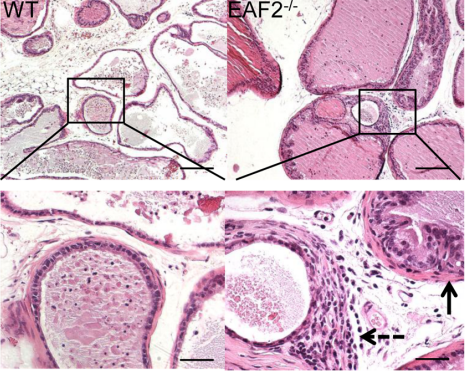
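These are sections of prostate glands, shown at low power above and at higher power below. On the left the glands are lined by a thin single layer of epithelial cells around lumens filled with pink secretion, separated by thin, sparse stroma. On the right the tissue between glands is expanded into a dense band of spindle-shaped cells with elongated dark nuclei surrounding a gland. Nearby the epithelial lining is thickened with crowded nuclei.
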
